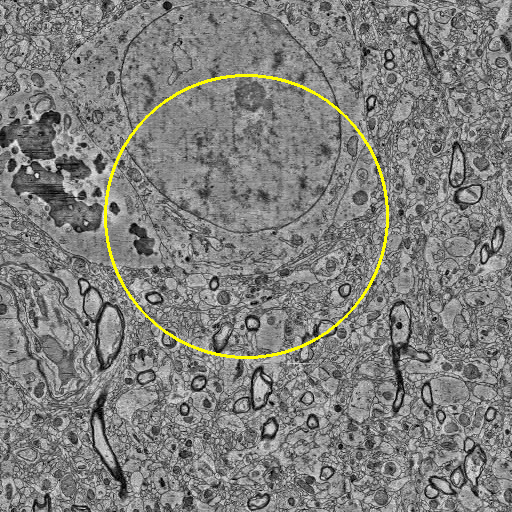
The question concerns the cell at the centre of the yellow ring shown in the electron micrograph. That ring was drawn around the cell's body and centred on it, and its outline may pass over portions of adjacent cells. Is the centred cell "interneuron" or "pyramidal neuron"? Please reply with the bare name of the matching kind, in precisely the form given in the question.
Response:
pyramidal neuron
